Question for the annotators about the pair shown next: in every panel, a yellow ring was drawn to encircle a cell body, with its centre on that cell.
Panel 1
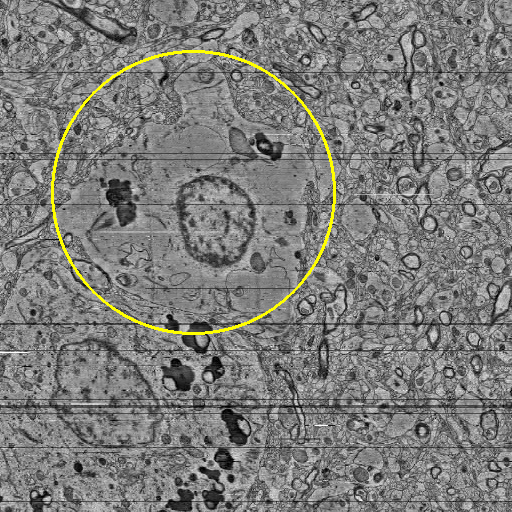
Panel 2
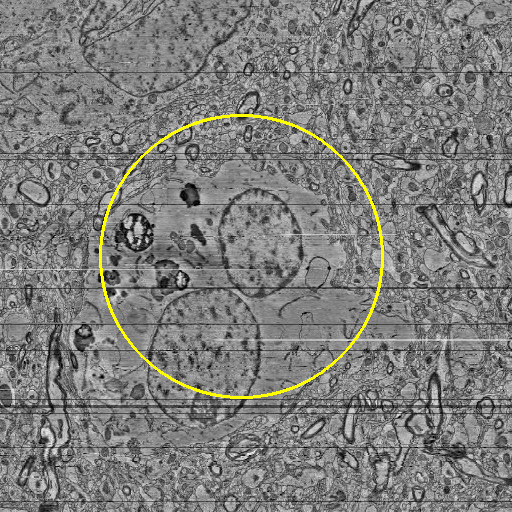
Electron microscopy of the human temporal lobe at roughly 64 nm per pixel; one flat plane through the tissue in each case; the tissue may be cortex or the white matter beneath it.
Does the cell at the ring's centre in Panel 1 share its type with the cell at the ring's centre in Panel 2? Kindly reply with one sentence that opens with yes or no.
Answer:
Yes, in Panels 1 and 2 the cells at the ring centres belong to a single type.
